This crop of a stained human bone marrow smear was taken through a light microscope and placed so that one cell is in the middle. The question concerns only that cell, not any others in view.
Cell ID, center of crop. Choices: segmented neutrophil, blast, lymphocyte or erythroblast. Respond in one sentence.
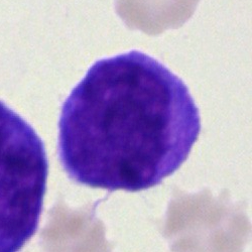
The centrally located cell in the crop is a blast.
